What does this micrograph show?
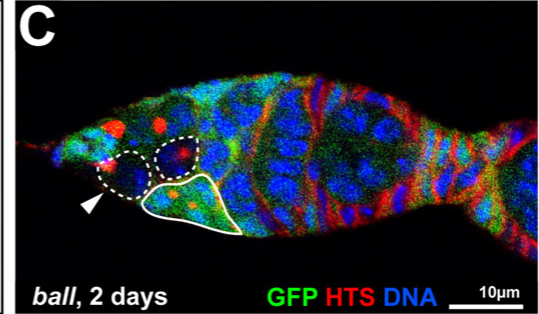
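This is a germarium, seen as a tapered structure whose narrow anterior tip lies at the left and widens toward the right. Rounded germline cells with large blue nuclei fill its interior, most with green cytoplasm, while a few near the tip lack green. Small red dots lie within some germline cells near the anterior end. Toward the right, cells are outlined by red along their borders.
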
